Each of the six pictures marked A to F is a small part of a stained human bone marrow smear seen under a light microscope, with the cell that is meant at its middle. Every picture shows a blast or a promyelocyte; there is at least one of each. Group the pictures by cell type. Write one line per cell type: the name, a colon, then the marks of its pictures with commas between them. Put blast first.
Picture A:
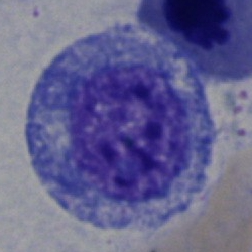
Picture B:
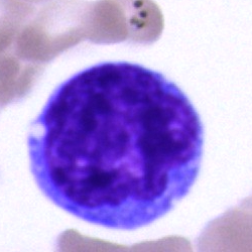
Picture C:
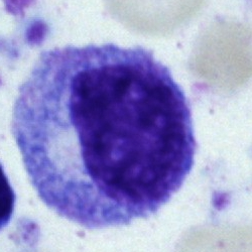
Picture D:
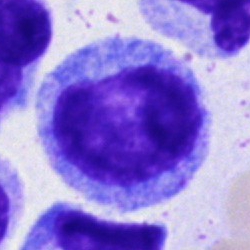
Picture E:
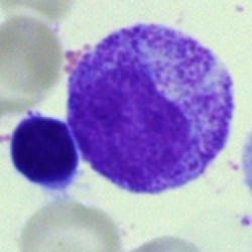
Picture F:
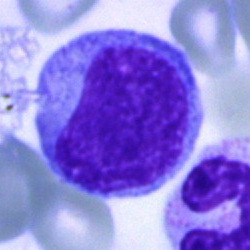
blast: B, F
promyelocyte: A, C, D, E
